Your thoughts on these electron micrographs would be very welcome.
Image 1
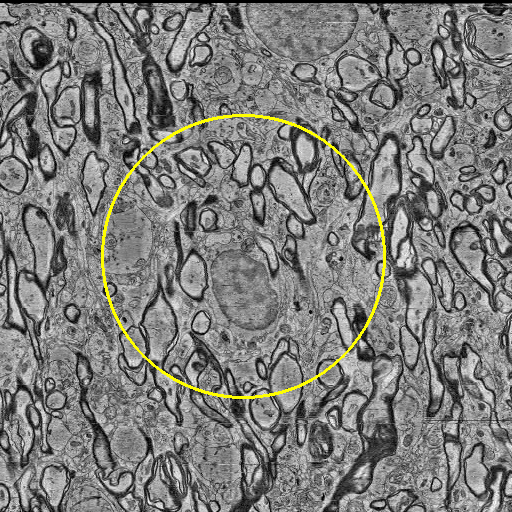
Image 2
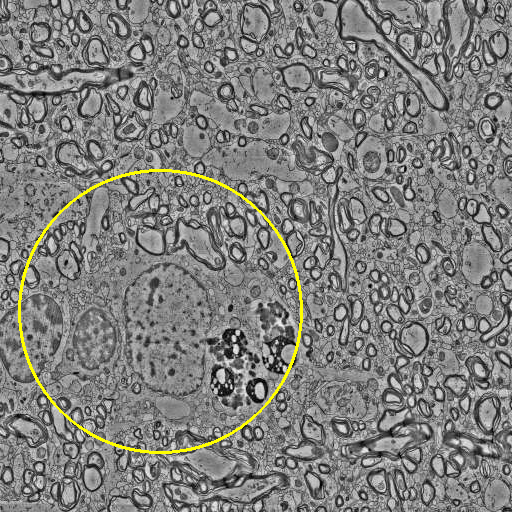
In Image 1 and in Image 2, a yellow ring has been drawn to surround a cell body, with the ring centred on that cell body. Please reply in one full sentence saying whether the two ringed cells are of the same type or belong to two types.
The ringed cells in Image 1 and Image 2 belong to two types.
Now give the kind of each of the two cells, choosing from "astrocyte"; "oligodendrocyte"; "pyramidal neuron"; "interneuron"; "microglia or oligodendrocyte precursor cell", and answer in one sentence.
The cell in the first picture is an oligodendrocyte, and the cell in the second is an astrocyte.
